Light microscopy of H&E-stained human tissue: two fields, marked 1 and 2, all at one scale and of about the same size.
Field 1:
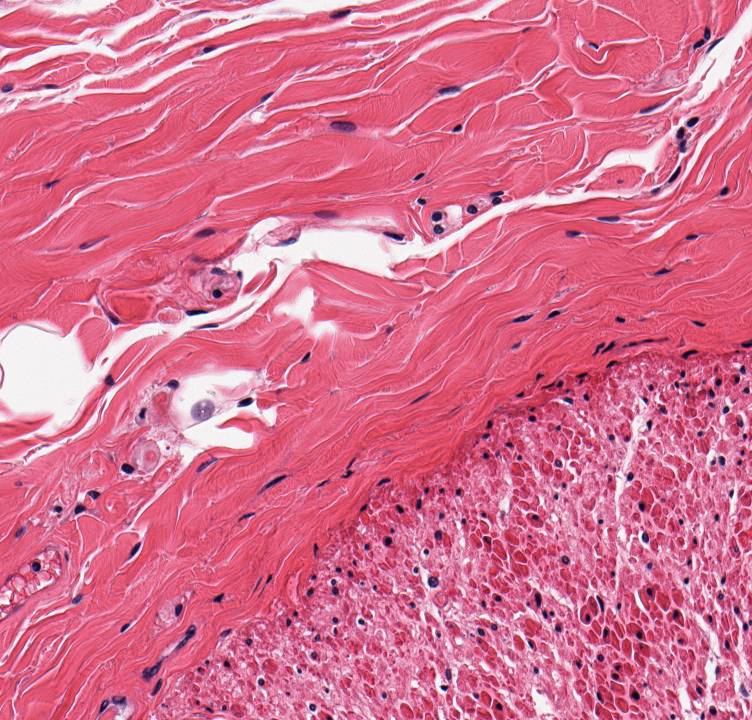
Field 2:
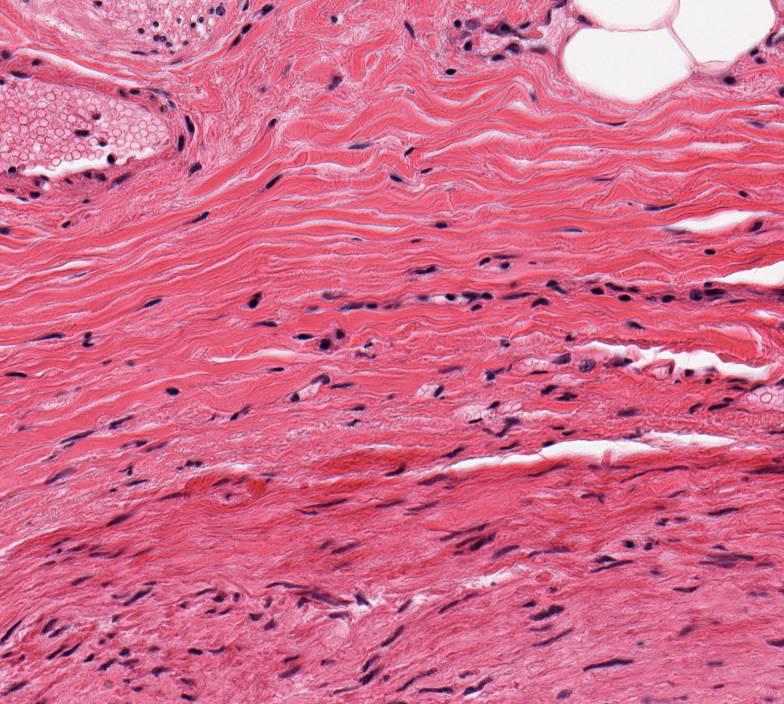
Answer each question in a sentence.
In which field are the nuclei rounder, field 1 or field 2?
Rounder nuclei lie in field 1.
